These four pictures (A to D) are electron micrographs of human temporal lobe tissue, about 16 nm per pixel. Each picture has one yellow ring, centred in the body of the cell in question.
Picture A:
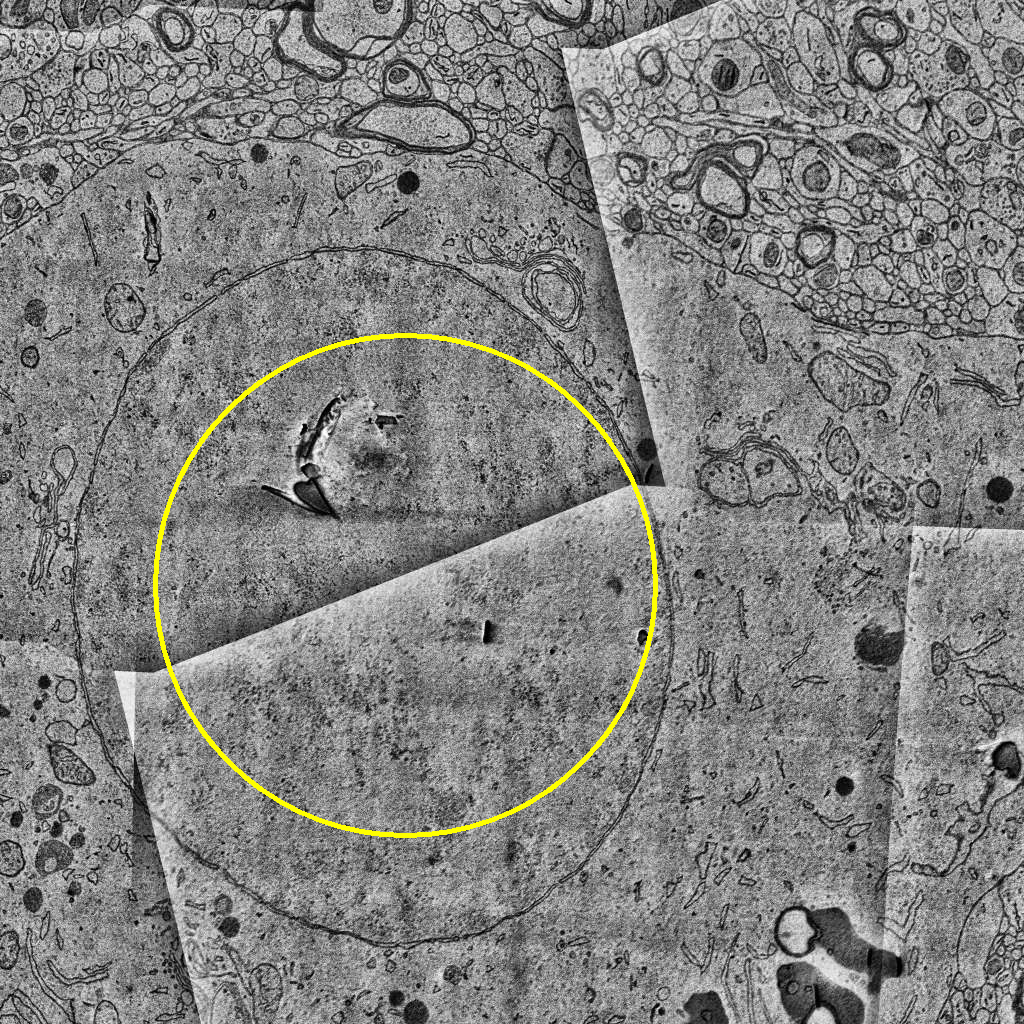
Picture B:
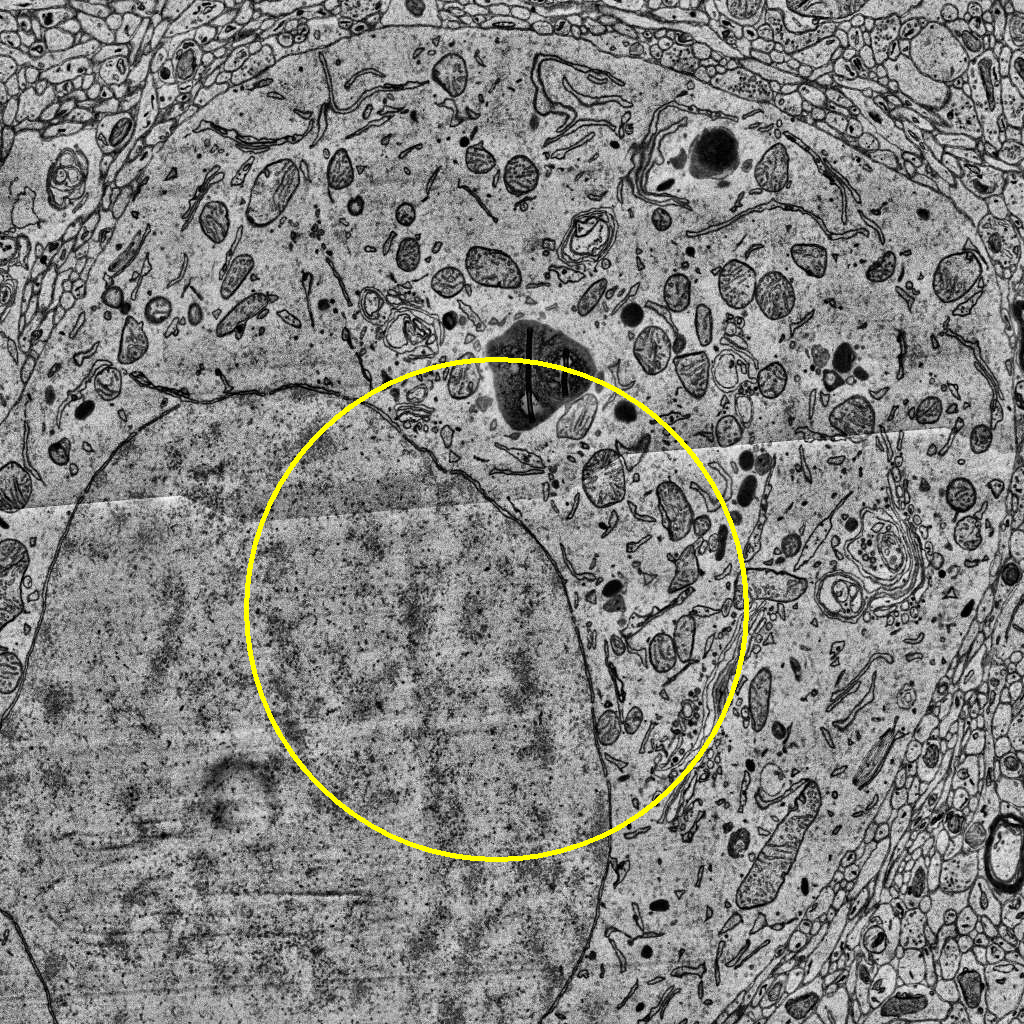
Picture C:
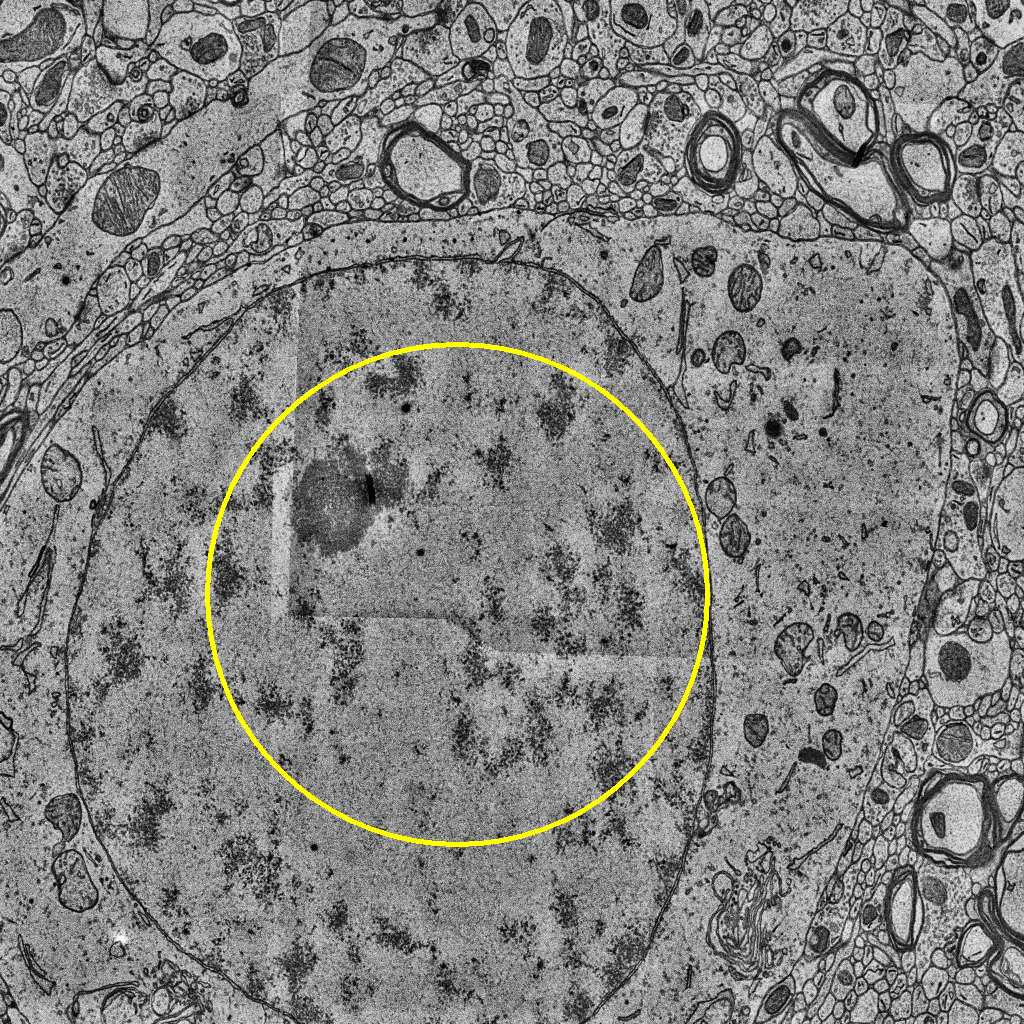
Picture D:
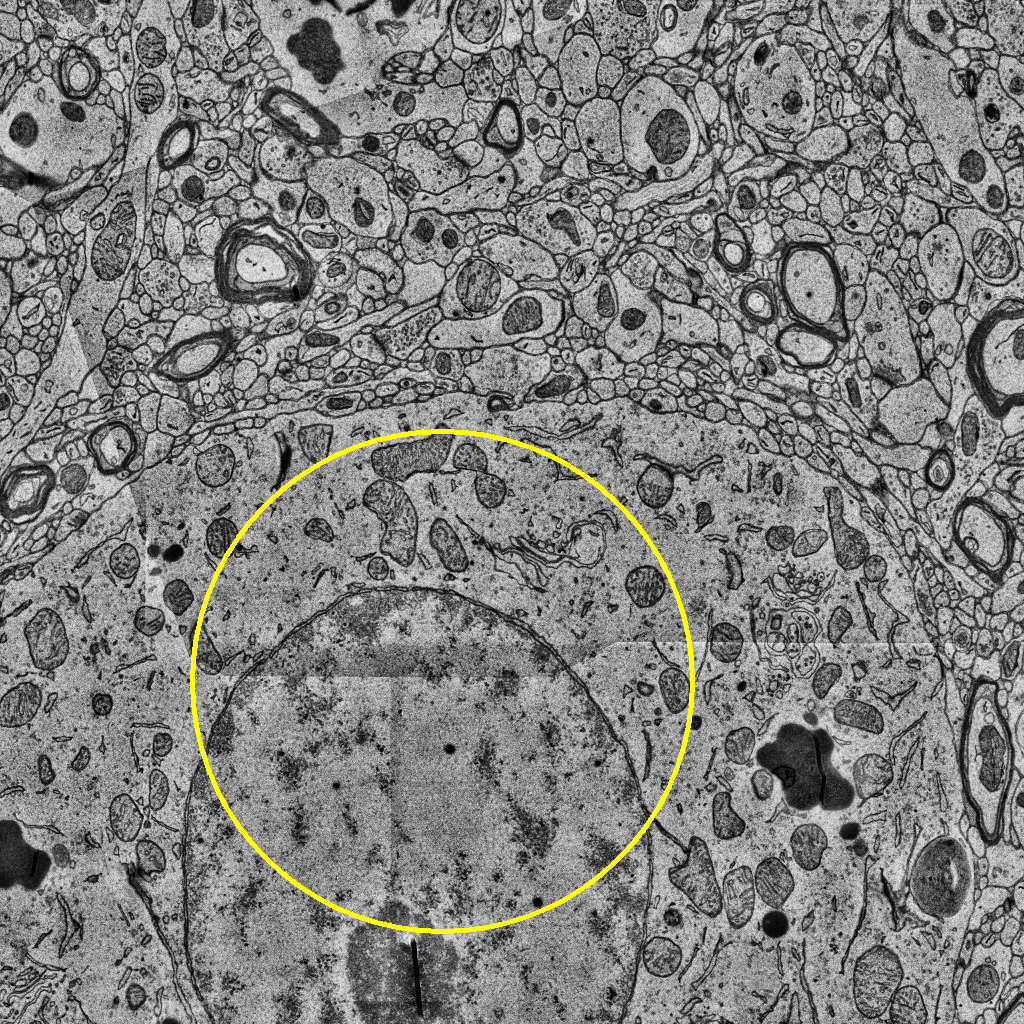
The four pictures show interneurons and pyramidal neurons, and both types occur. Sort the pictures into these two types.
Pictures B and D show interneurons, while pictures A and C show pyramidal neurons.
